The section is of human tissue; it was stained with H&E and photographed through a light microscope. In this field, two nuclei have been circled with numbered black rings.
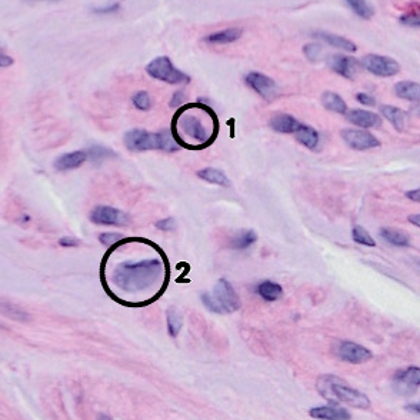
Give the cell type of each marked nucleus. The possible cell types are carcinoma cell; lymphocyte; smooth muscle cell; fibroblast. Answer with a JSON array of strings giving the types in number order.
["smooth muscle cell", "fibroblast"]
